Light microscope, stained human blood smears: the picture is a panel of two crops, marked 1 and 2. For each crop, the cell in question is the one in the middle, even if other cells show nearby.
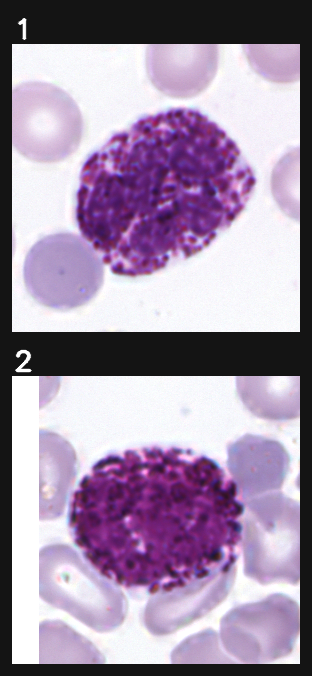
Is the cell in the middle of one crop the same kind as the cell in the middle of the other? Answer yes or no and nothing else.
yes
